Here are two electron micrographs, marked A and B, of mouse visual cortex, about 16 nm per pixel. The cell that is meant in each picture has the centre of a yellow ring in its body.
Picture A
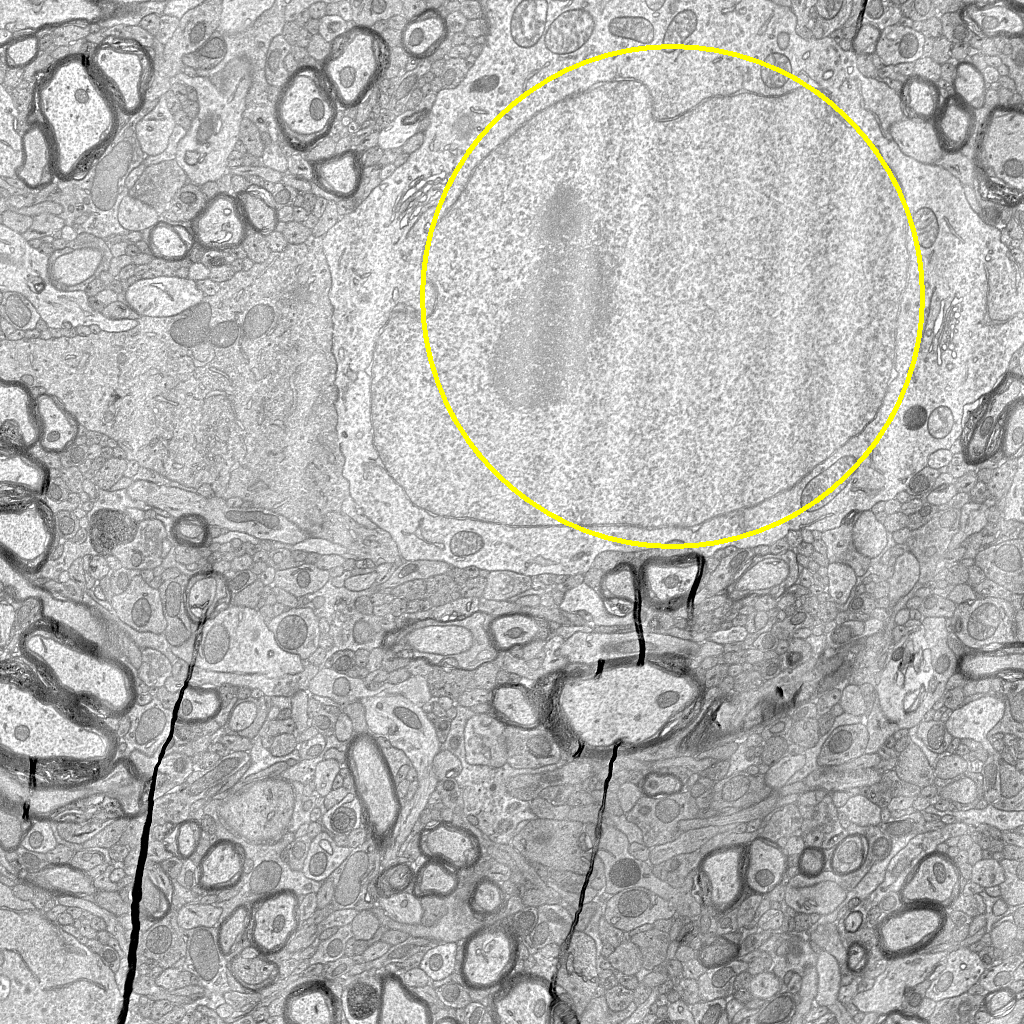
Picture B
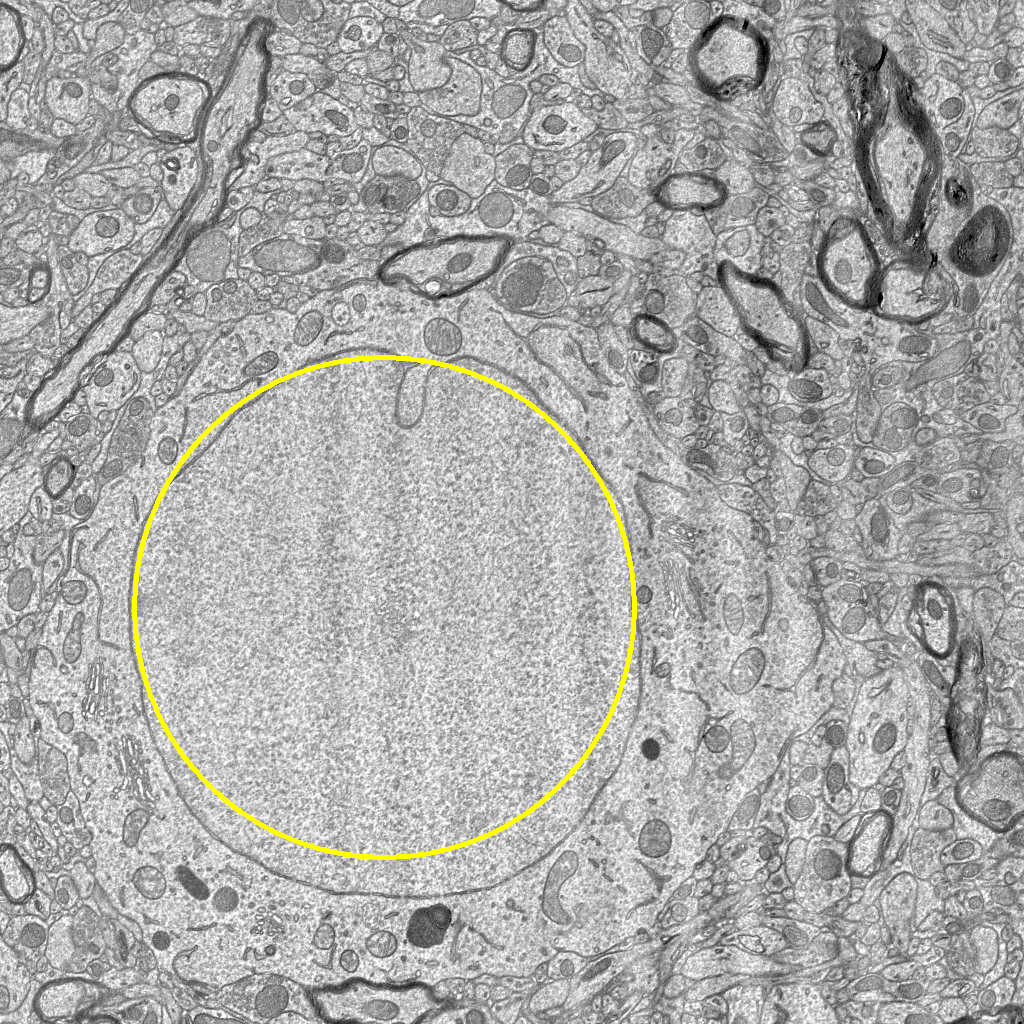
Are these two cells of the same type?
Yes, the two pictures both show excitatory neurons.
